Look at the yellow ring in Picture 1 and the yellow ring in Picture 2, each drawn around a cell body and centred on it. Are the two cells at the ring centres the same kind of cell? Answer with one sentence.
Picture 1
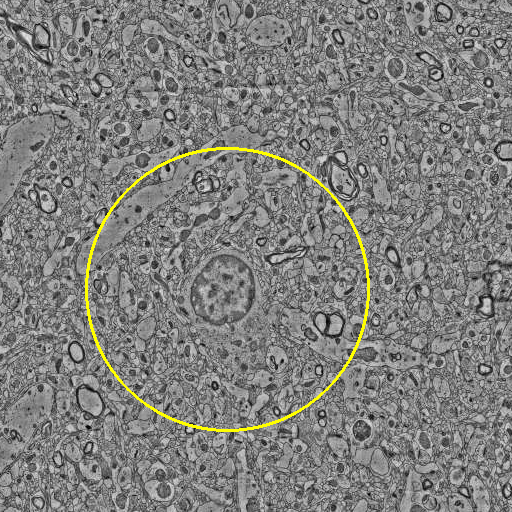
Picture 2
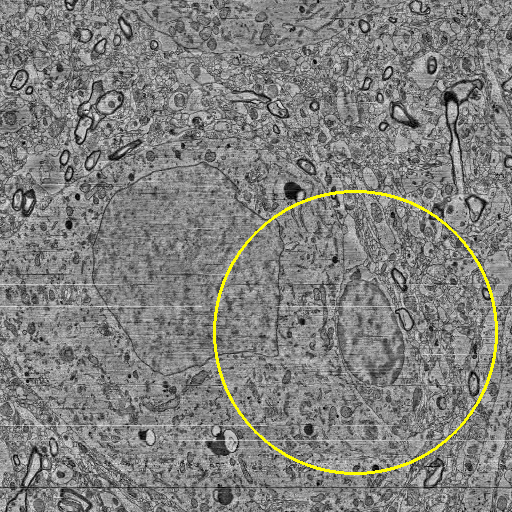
Yes, both are the same kind of cell.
